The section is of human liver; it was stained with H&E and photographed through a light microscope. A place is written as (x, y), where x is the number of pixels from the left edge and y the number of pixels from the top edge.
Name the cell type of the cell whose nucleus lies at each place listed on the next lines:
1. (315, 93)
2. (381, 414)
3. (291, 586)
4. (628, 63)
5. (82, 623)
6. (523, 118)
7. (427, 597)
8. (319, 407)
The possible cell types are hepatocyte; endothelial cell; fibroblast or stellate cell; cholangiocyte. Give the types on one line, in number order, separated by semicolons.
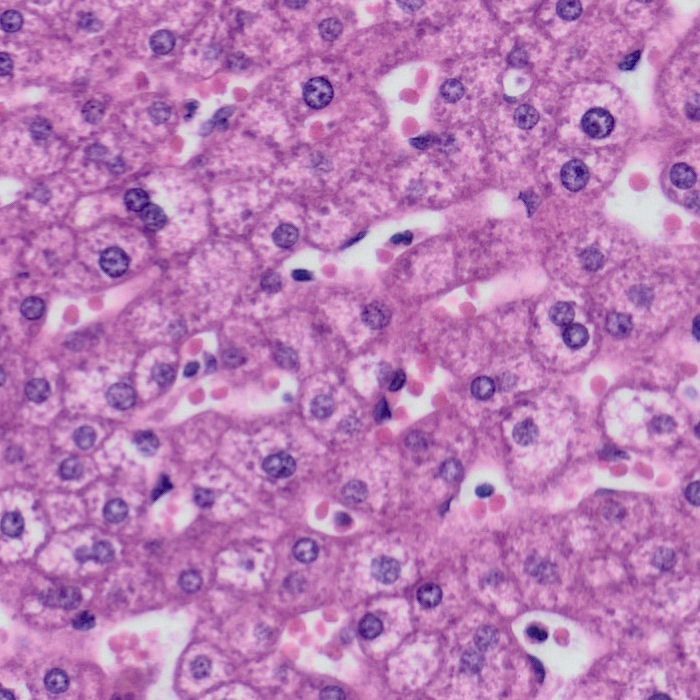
hepatocyte; endothelial cell; hepatocyte; endothelial cell; fibroblast or stellate cell; hepatocyte; hepatocyte; hepatocyte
